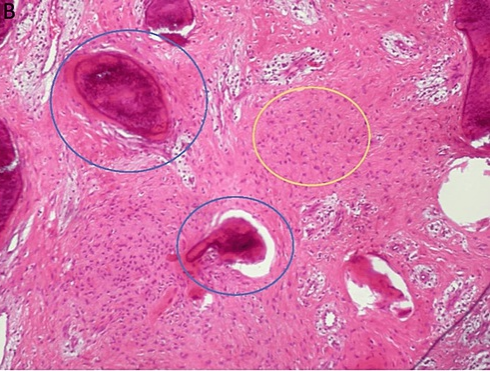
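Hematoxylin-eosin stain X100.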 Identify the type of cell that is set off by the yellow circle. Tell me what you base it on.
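The circle encloses densely packed cells with small elongated spindle-shaped nuclei. The cells lie in a pink fibrillar matrix.
Fibroblasts.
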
